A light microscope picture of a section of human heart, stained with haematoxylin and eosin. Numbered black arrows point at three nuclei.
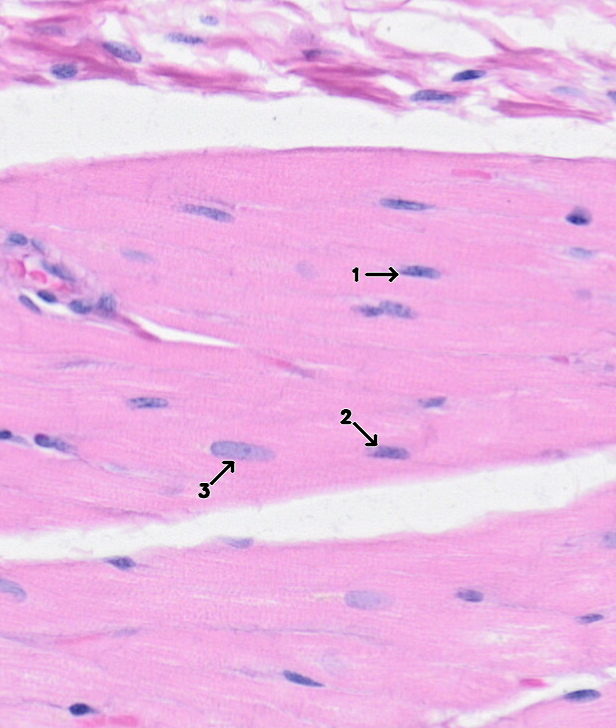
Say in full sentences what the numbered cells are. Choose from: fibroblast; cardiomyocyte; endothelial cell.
Cells 1 and 2 are endothelial cells. Cell 3 is a cardiomyocyte.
